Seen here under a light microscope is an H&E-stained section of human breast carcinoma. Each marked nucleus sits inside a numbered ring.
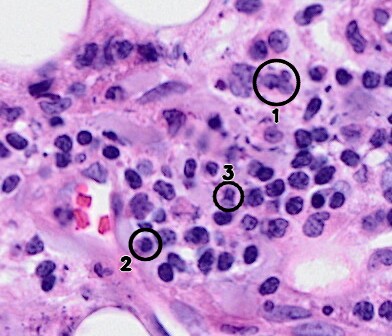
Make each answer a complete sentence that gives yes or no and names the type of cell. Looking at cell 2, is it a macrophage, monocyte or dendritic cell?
No, the cell indicated by 2 is a lymphocyte instead of a macrophage, monocyte or dendritic cell.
